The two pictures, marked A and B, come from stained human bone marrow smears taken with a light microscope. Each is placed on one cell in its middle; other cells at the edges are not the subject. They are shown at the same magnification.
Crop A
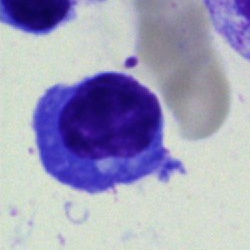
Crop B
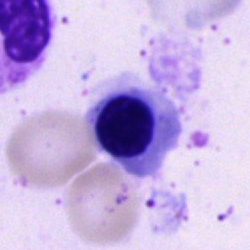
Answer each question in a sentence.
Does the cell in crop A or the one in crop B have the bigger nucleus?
Crop A shows the larger nucleus; it covers about 2.5 times the area of the nucleus in crop B.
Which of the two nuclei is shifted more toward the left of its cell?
It is the nucleus in crop B that lies further toward the left of its cell.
